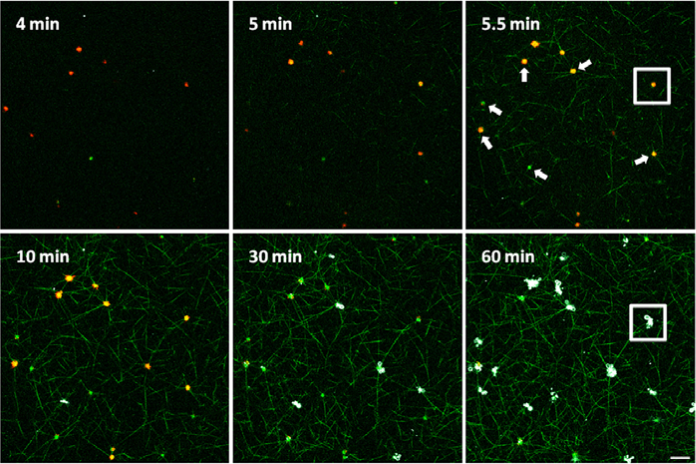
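A series of six fluorescence fields shows small scattered platelets on a dark background. In the first fields they appear as isolated red dots with almost no green. In later fields a dense meshwork of fine, straight green fibres spreads across the whole field. The platelets sit at points of this meshwork, and several of them turn yellow-orange where red and green overlap. In the last fields many platelets have become bright white, irregular and enlarged, with lumpy outlines.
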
